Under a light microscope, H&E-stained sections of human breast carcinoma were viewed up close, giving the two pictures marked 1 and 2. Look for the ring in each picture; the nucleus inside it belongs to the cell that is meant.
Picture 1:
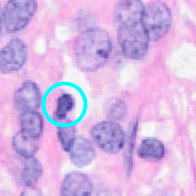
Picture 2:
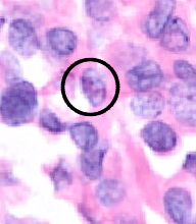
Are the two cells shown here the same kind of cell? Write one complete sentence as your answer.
No, the types are not the same, since picture 1 shows a lymphocyte and picture 2 a carcinoma cell.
